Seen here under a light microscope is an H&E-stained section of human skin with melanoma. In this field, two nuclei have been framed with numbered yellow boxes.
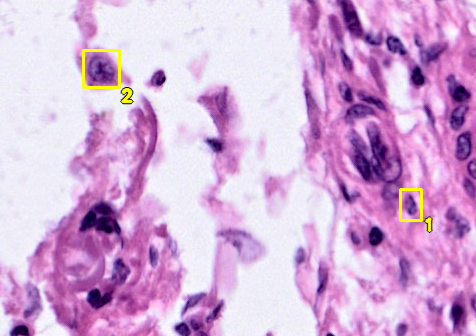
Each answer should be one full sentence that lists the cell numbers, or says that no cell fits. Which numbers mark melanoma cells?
Of the numbered nuclei, only the one labelled 2 belongs to a melanoma cell.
